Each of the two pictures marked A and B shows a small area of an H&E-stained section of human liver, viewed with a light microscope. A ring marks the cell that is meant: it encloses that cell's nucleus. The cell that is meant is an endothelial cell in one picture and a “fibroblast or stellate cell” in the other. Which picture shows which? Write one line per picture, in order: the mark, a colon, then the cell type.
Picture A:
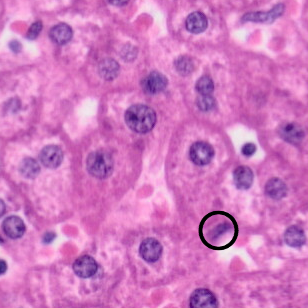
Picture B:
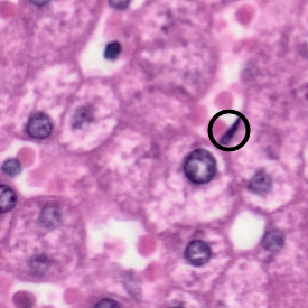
A: fibroblast or stellate cell
B: endothelial cell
